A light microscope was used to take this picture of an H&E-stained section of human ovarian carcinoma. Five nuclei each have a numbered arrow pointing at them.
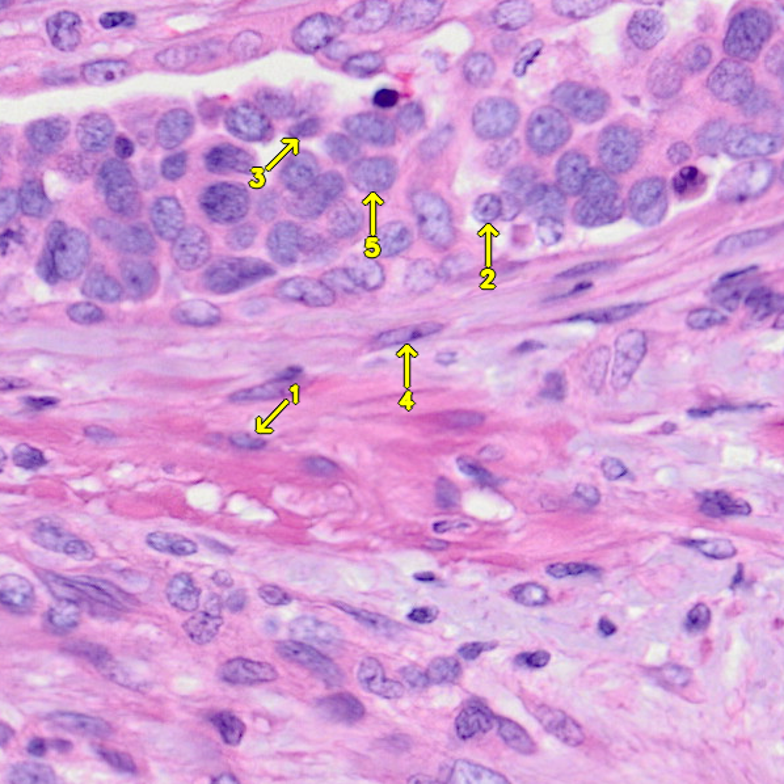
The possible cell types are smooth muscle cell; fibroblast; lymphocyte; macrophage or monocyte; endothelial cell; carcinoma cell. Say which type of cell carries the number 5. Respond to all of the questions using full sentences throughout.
Cell 5 is classified as a carcinoma cell.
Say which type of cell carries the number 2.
Belonging to a macrophage or monocyte is the nucleus that carries the number 2.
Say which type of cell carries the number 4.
Nucleus 4 in this section belongs to a fibroblast.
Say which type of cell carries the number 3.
The mark numbered 3 indicates the nucleus of a carcinoma cell.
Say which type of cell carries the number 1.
The cell indicated by marker 1 is a smooth muscle cell in this section.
